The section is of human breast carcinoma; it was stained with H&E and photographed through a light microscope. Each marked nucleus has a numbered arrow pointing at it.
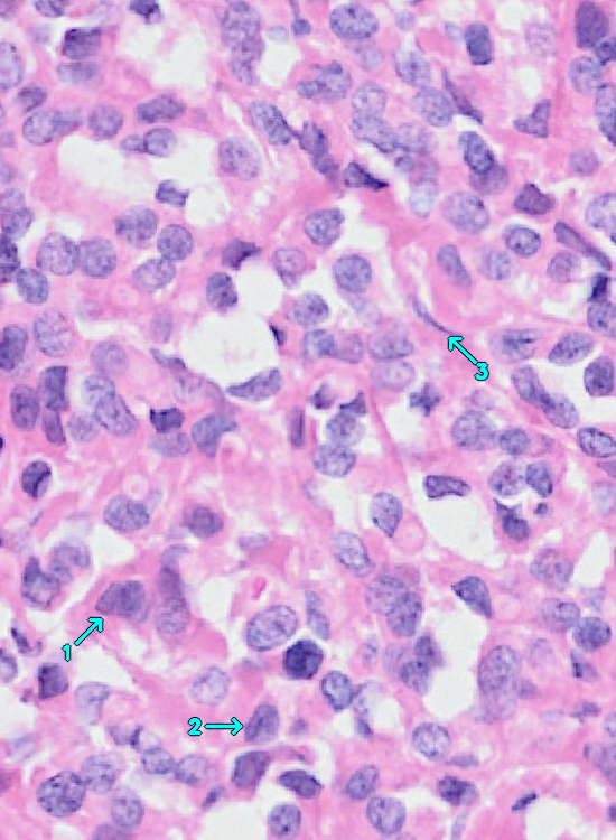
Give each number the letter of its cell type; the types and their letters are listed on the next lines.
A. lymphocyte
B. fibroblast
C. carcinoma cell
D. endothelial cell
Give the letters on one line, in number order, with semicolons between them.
C; C; B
